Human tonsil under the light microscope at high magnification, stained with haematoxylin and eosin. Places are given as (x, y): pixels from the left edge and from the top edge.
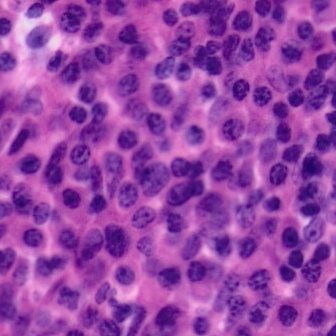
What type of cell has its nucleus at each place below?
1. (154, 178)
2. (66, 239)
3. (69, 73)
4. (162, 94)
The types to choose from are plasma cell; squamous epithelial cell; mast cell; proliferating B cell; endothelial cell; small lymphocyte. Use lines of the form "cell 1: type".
cell 1: squamous epithelial cell
cell 2: plasma cell
cell 3: plasma cell
cell 4: plasma cell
